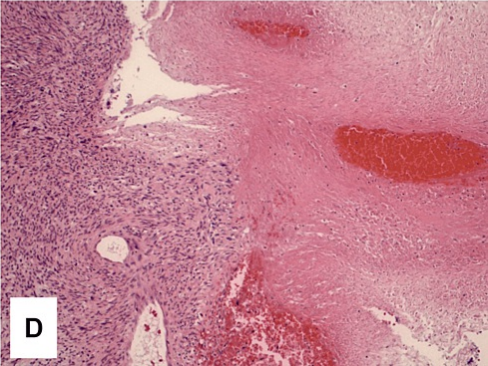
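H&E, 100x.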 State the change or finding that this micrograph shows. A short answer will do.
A: Tumor necrosis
